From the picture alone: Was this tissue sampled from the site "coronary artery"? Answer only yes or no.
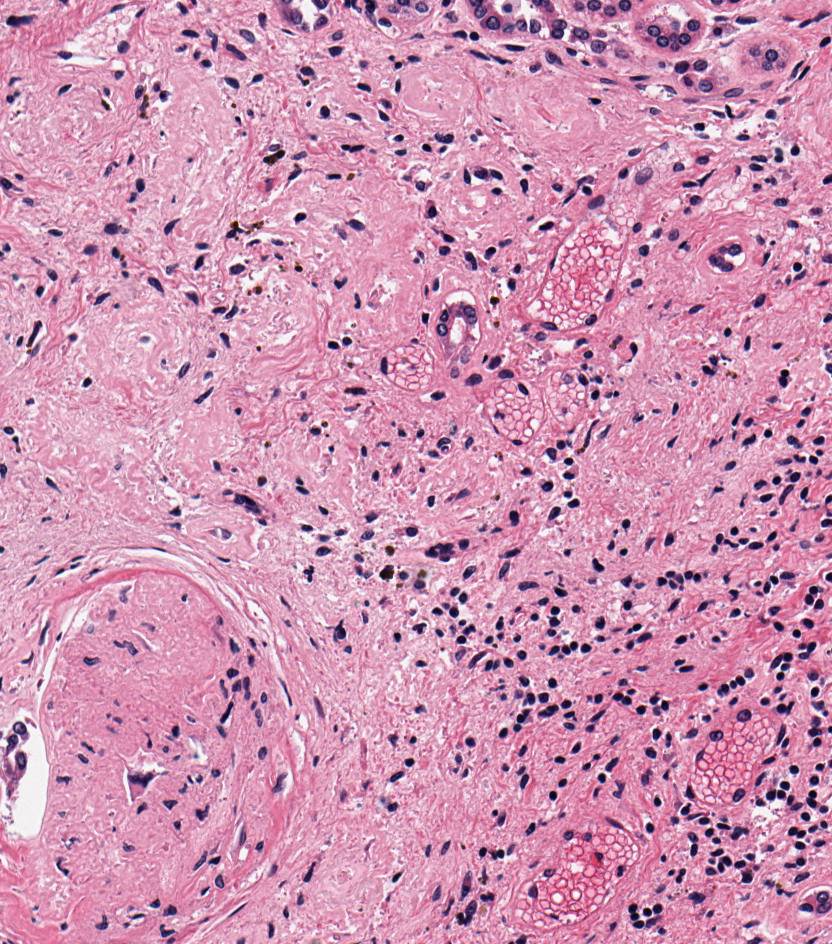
no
